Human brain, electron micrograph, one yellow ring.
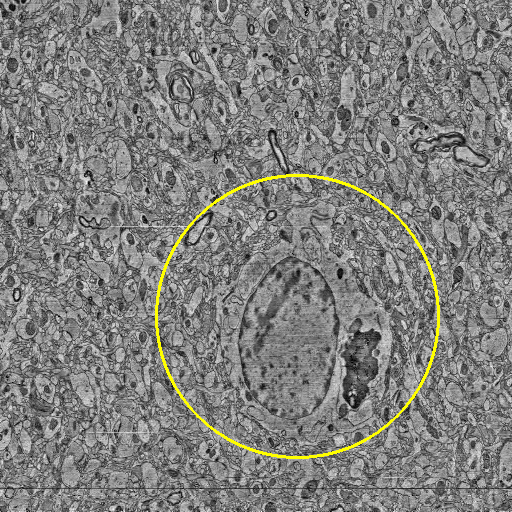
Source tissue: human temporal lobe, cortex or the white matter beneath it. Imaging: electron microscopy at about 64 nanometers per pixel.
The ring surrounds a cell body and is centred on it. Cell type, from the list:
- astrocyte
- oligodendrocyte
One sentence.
The yellow ring circles an astrocyte.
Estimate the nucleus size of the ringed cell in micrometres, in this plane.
In this plane, approximately 11 by 6 micrometers, and clearly longer than it is wide.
